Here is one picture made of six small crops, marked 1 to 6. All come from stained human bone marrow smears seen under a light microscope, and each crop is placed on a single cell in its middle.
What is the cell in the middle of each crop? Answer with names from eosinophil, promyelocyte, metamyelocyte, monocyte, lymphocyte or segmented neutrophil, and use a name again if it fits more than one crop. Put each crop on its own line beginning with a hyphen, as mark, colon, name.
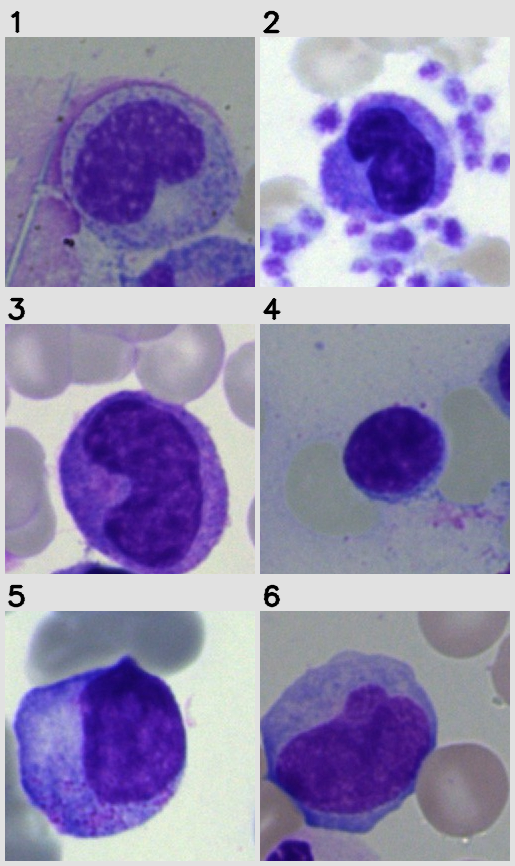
- 1: metamyelocyte
- 2: monocyte
- 3: monocyte
- 4: lymphocyte
- 5: promyelocyte
- 6: monocyte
